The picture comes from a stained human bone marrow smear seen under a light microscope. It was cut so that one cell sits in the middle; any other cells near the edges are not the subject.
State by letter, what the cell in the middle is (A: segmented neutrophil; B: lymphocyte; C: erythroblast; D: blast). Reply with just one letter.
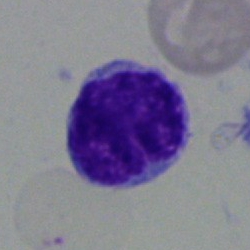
B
